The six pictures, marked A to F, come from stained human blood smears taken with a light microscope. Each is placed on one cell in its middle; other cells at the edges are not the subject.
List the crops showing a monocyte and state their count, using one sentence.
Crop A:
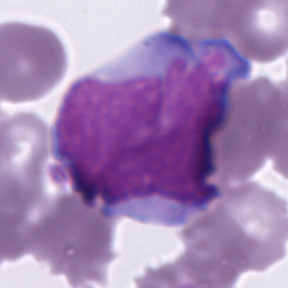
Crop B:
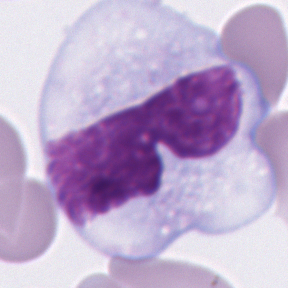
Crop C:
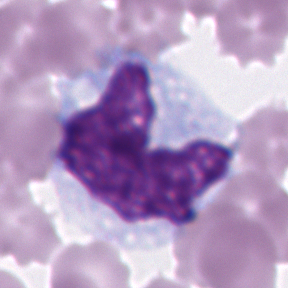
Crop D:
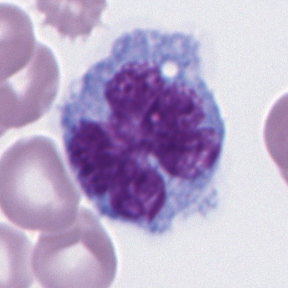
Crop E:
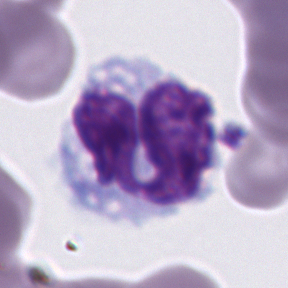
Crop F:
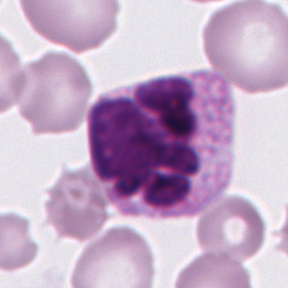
Crops with monocytes come to four, specifically B, C, D and E.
